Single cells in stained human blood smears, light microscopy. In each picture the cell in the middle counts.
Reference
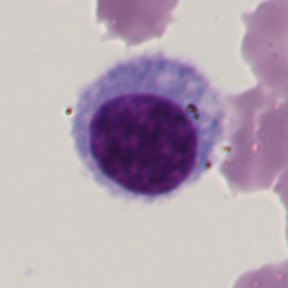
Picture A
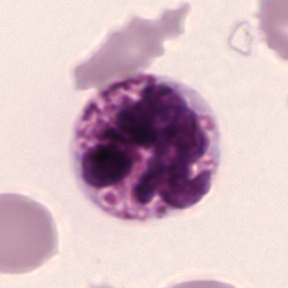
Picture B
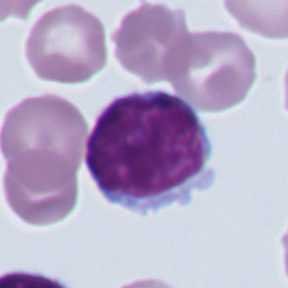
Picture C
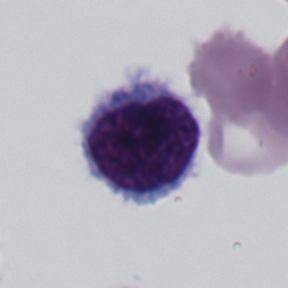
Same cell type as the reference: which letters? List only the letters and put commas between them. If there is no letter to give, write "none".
C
